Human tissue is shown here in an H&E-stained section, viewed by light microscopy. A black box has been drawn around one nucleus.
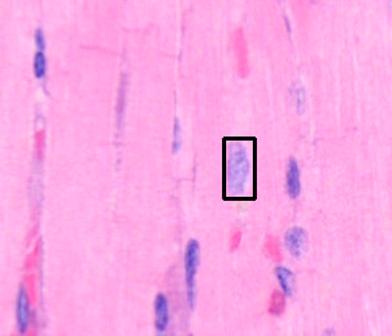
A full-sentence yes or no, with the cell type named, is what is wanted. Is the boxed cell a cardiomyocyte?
Yes, in this section the boxed cell is a cardiomyocyte.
